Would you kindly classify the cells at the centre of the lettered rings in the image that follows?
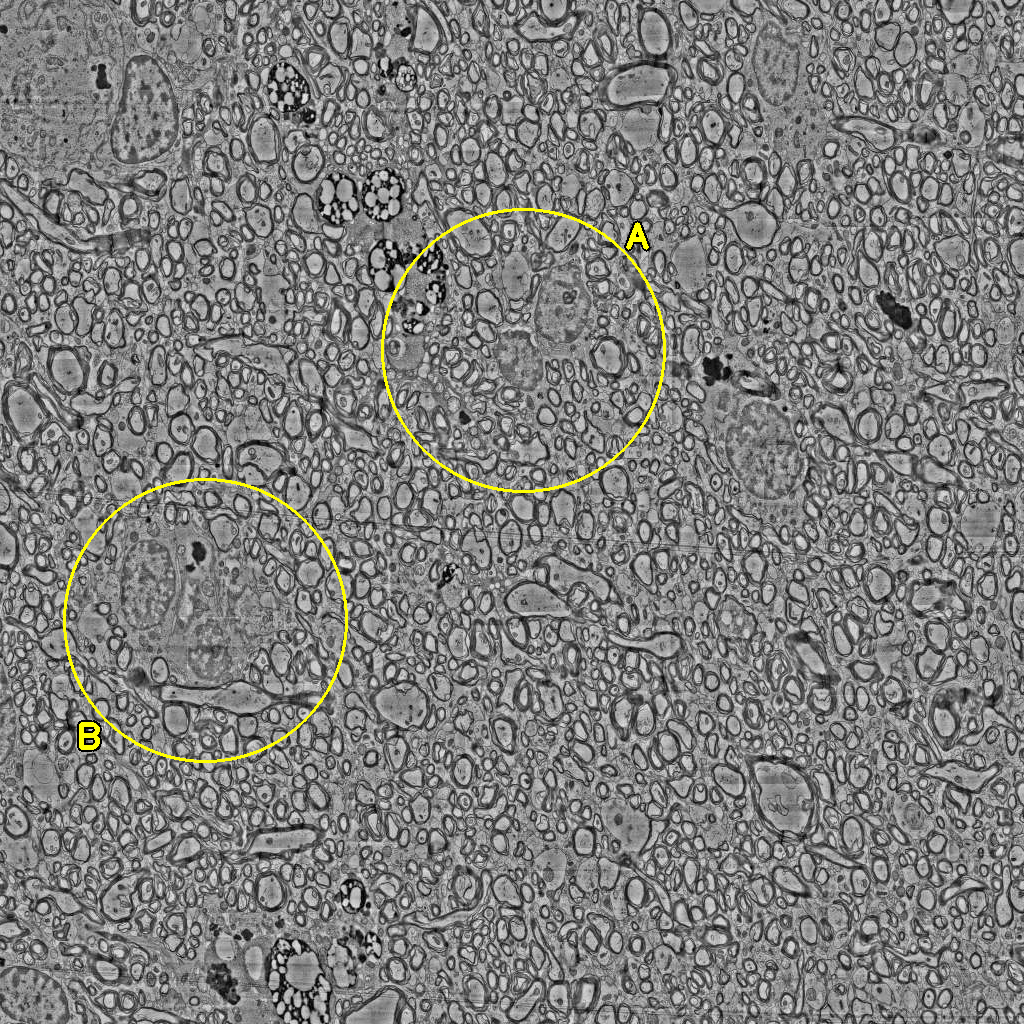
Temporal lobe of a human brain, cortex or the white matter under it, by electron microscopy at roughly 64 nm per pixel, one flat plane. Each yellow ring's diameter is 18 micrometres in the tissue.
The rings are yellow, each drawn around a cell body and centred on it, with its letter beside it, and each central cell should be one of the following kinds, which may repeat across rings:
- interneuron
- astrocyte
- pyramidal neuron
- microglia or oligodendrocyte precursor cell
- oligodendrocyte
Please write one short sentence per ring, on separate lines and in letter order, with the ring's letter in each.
The kind of cell at the centre of ring A is an oligodendrocyte.
The kind of cell at the centre of ring B is an oligodendrocyte.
